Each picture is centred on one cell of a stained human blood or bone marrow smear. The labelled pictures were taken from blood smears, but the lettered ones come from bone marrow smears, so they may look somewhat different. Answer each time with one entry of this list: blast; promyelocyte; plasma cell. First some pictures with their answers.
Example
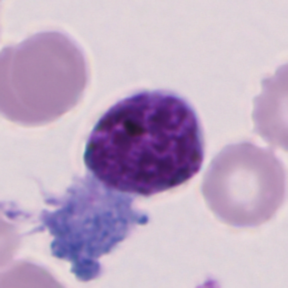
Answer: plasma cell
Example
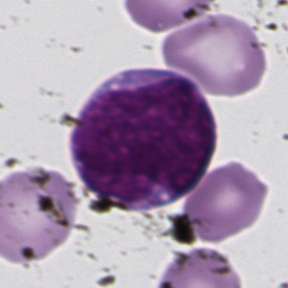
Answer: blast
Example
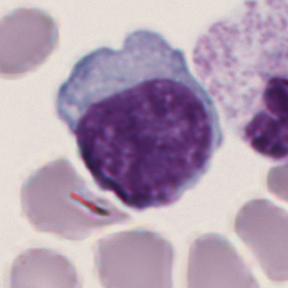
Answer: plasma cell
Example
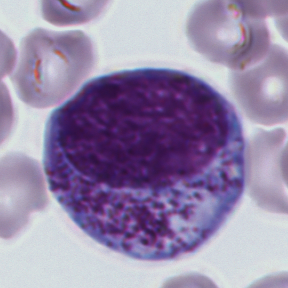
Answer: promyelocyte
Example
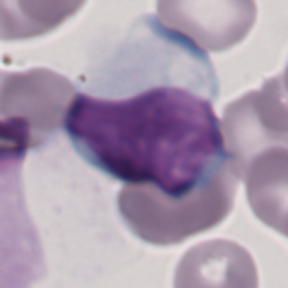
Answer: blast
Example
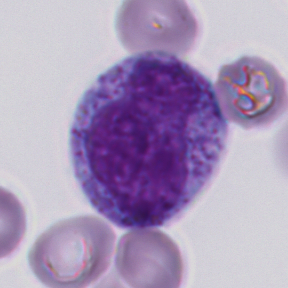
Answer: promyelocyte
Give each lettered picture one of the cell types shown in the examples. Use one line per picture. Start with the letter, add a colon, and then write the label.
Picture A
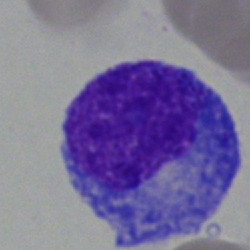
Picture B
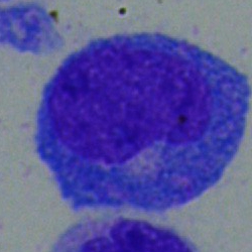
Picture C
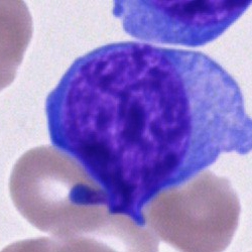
A: promyelocyte
B: promyelocyte
C: blast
